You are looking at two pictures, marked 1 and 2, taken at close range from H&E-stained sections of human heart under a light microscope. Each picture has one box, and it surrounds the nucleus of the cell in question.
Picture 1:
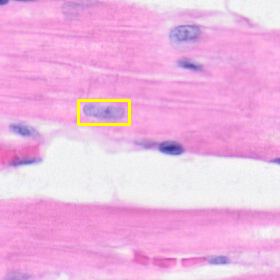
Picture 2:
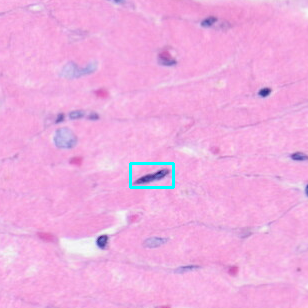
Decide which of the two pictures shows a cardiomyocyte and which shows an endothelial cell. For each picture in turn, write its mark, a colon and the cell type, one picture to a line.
1: cardiomyocyte
2: endothelial cell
